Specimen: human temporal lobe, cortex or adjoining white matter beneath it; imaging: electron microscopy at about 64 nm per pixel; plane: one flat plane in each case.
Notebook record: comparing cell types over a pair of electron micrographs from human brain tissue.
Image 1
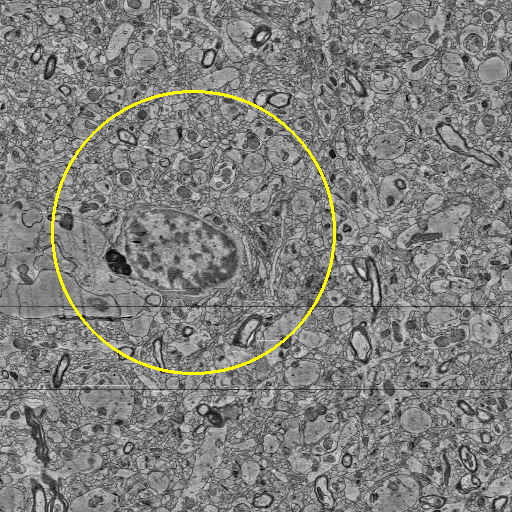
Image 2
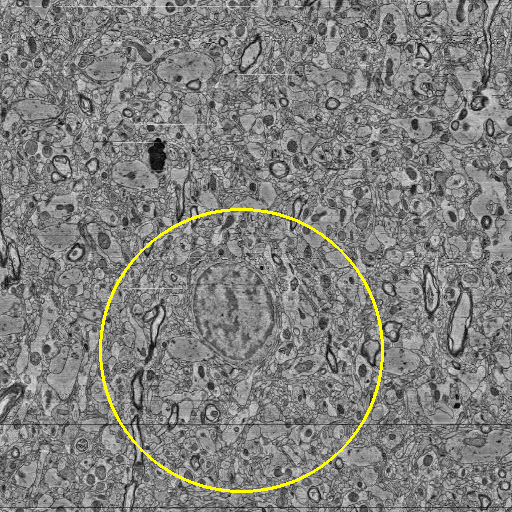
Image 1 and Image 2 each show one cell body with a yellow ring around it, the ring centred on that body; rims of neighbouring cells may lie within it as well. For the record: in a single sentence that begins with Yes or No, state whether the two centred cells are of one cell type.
Yes, one cell type is shared by the centred cells of Image 1 and Image 2.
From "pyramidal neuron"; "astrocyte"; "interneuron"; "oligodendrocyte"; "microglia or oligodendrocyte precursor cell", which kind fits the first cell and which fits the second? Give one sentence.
Each cell, in the first picture and the second, is an oligodendrocyte.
